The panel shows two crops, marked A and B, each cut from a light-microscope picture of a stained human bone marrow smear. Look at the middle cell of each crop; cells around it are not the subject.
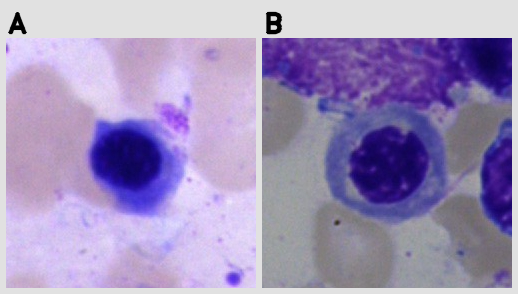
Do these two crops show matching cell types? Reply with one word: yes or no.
yes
